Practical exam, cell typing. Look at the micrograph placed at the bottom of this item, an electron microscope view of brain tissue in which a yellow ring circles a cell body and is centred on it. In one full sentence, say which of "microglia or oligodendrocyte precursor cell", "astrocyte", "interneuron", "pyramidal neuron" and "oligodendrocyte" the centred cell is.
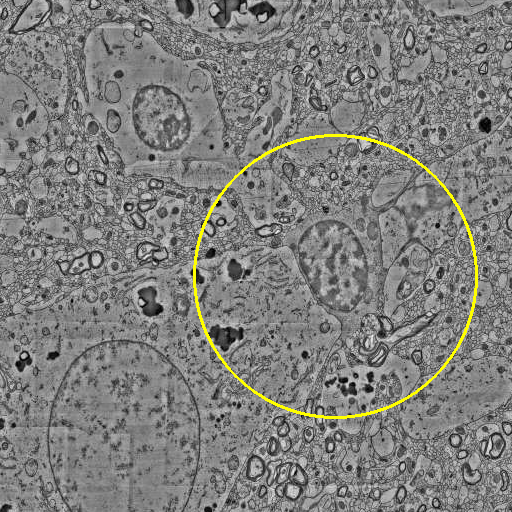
Given the options, an oligodendrocyte fits the cell whose body the yellow ring is centred on.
